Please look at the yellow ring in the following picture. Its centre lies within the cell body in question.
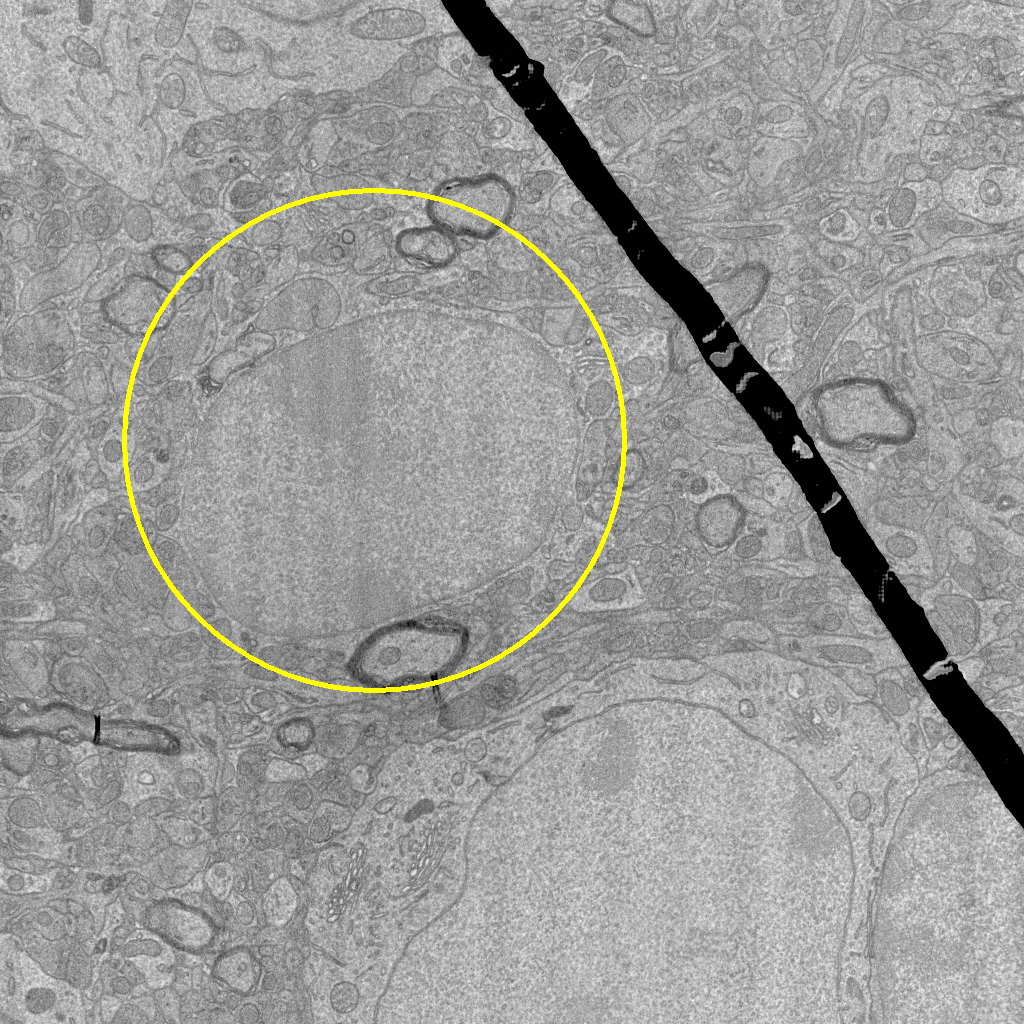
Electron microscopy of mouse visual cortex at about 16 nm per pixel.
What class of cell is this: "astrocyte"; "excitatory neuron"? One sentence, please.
The centre of the ring lies in the cell body of an astrocyte.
